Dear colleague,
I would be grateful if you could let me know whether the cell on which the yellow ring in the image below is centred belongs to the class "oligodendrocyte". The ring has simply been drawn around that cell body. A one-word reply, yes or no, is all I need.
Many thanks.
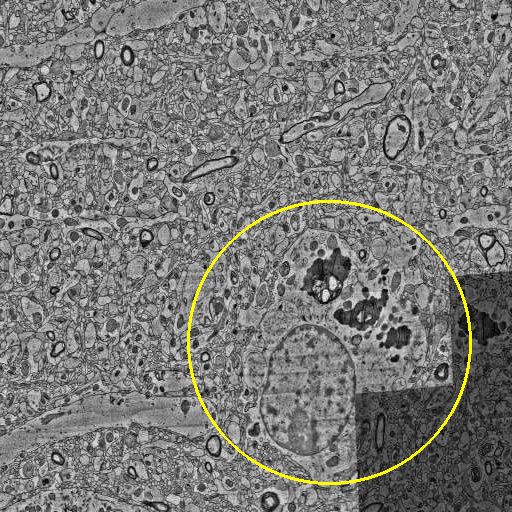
no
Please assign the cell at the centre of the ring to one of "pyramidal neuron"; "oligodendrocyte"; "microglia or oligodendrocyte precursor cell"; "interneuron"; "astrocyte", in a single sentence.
The cell enclosed by the ring is an astrocyte.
